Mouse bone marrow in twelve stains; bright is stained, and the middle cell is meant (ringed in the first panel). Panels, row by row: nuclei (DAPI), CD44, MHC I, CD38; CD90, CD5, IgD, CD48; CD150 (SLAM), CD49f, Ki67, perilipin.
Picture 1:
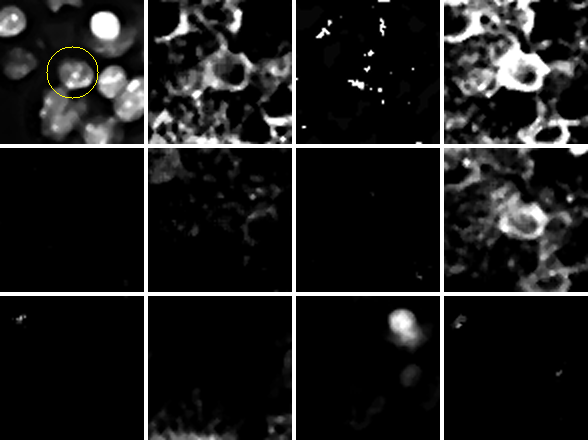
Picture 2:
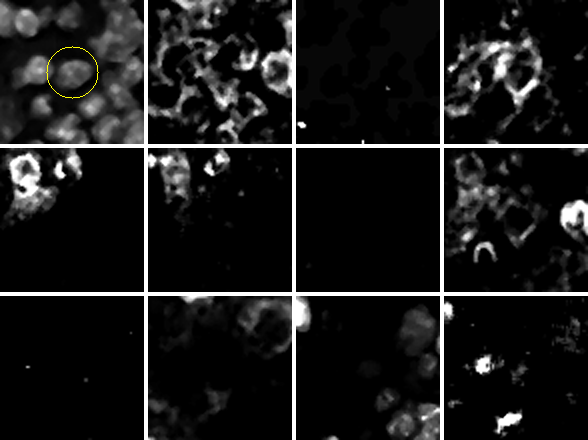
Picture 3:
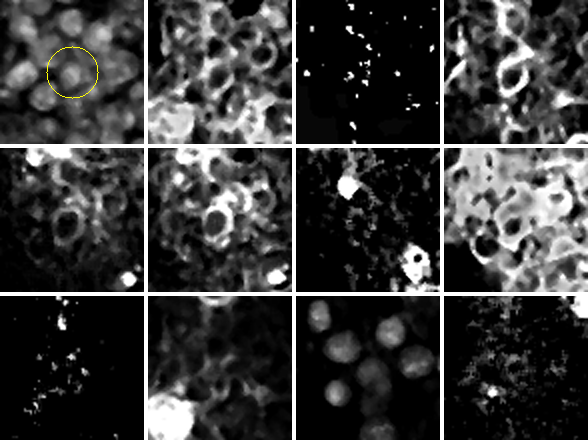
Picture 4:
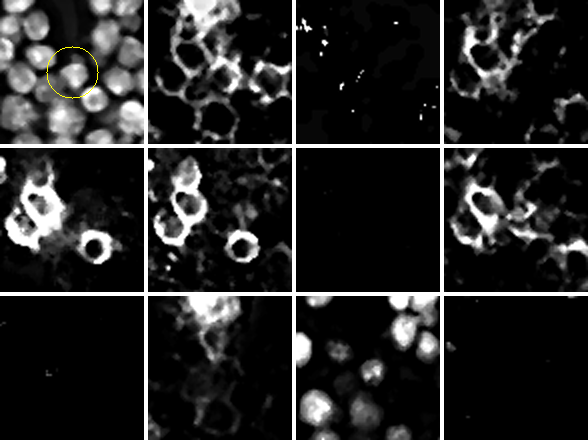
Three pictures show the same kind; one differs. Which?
Picture 4: a capillary endothelial cell, while the others are monocytes.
